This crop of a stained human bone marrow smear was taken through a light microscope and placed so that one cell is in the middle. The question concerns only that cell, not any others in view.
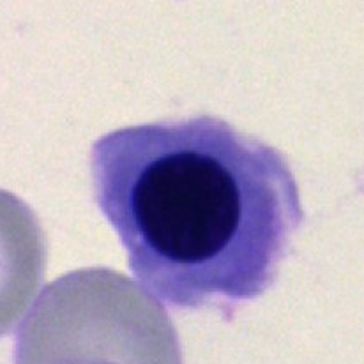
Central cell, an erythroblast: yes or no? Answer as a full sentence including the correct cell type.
Yes, the crop's central cell is an erythroblast.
